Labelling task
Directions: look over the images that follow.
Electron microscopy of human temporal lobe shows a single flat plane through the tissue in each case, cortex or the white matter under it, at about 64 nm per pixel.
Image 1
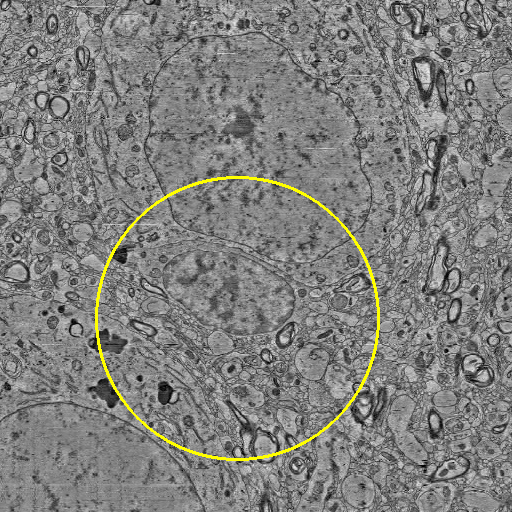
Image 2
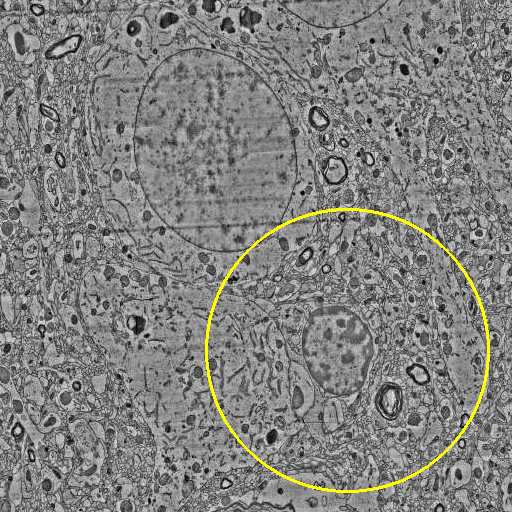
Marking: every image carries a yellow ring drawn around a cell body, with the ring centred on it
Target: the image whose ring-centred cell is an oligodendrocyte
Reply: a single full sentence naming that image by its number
The requested cell sits at the ring's centre in Image 1.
